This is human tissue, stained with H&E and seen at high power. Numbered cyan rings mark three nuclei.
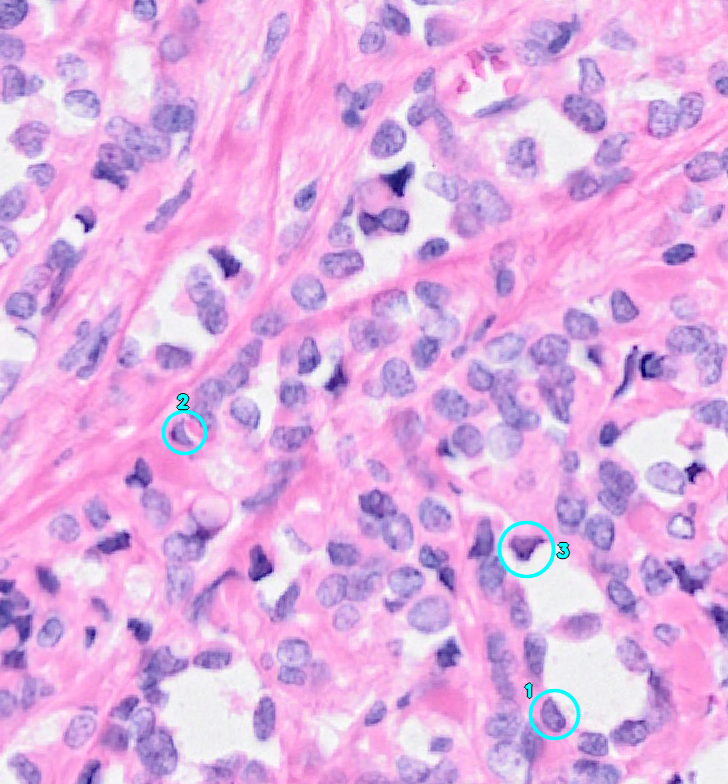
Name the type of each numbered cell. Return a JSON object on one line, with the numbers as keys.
{"1": "carcinoma cell", "2": "endothelial cell", "3": "carcinoma cell"}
